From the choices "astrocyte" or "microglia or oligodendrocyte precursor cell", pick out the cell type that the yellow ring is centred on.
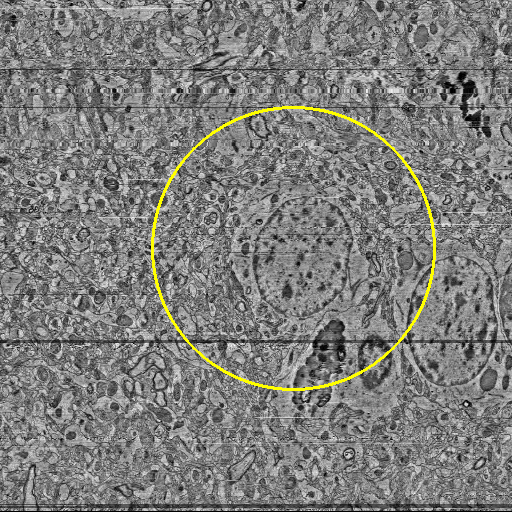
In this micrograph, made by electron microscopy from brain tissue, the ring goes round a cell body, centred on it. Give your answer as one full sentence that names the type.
The yellow ring is centred on an astrocyte, whose cell body it encircles in the picture.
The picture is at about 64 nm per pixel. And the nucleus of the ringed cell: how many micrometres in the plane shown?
In this plane the nucleus spans approximately 8 by 6 micrometers.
